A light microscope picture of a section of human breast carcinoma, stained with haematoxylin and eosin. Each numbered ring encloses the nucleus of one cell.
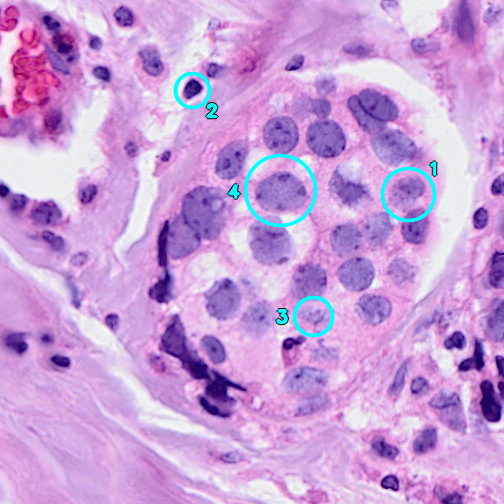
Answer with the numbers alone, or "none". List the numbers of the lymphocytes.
2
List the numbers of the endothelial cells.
none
